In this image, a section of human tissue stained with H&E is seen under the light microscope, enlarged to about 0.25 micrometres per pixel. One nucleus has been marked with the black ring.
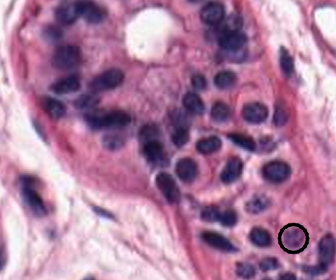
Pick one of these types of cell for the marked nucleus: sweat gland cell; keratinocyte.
sweat gland cell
